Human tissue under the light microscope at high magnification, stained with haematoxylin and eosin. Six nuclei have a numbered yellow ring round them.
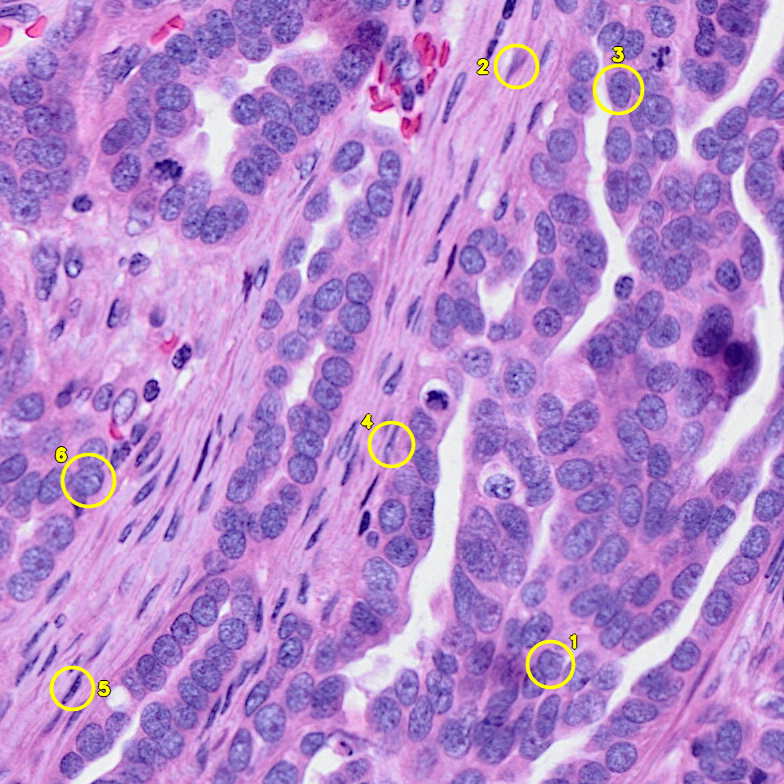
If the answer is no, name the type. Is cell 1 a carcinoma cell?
Yes.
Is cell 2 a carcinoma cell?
No, it is a fibroblast.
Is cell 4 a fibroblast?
Yes.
